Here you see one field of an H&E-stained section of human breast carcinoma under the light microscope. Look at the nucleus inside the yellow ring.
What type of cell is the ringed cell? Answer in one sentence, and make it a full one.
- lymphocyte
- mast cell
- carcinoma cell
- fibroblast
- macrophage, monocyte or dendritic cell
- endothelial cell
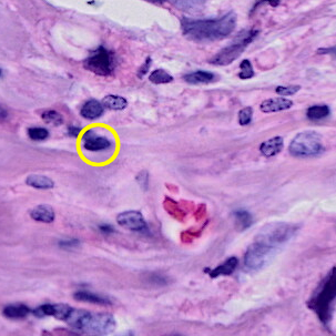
Just put down that the ringed cell is a lymphocyte.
